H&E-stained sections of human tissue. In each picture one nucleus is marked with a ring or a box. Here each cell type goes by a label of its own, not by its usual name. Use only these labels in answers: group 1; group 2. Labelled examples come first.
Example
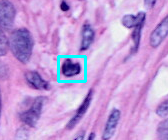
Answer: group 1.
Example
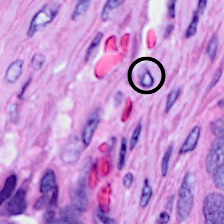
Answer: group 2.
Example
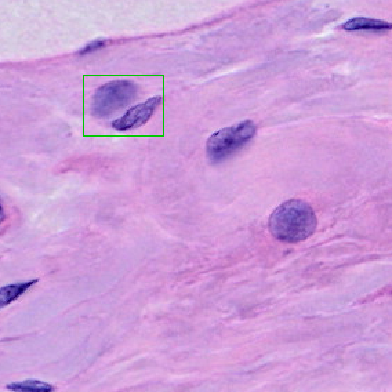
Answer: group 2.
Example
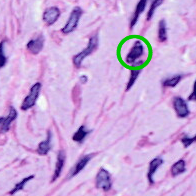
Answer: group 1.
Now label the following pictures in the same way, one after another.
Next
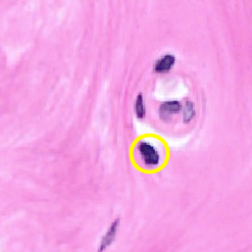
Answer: group 1.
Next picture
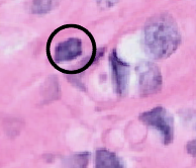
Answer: group 1.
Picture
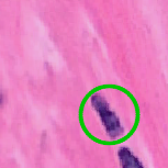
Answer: group 1.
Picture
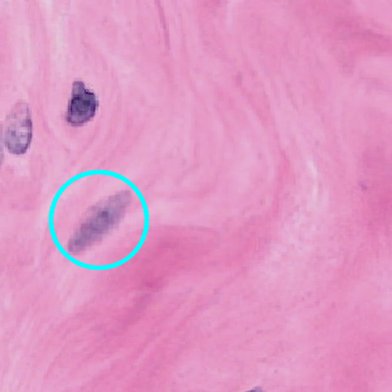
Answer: group 2.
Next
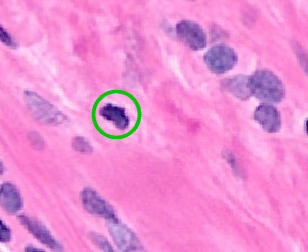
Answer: group 1.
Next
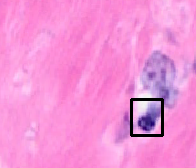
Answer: group 1.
